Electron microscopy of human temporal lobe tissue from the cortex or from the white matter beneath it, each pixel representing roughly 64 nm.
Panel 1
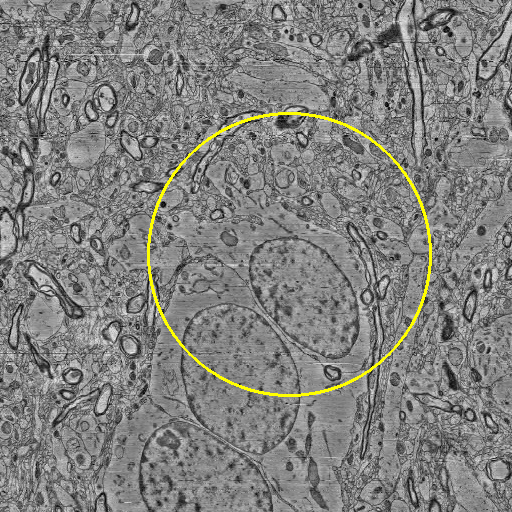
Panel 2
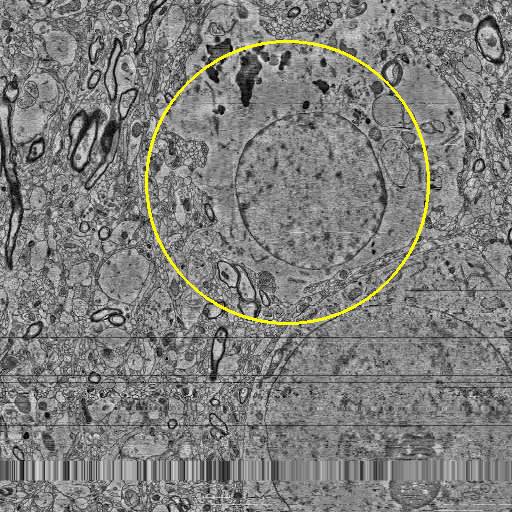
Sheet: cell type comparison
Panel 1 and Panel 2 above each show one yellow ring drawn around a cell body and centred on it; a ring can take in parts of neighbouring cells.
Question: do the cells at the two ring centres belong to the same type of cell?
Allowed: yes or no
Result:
yes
